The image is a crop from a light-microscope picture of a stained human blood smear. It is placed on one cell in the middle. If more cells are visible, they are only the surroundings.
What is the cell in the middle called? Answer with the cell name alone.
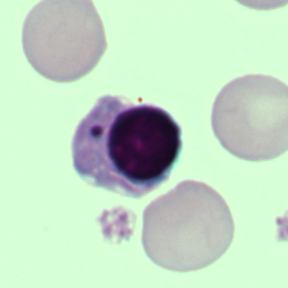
erythroblast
